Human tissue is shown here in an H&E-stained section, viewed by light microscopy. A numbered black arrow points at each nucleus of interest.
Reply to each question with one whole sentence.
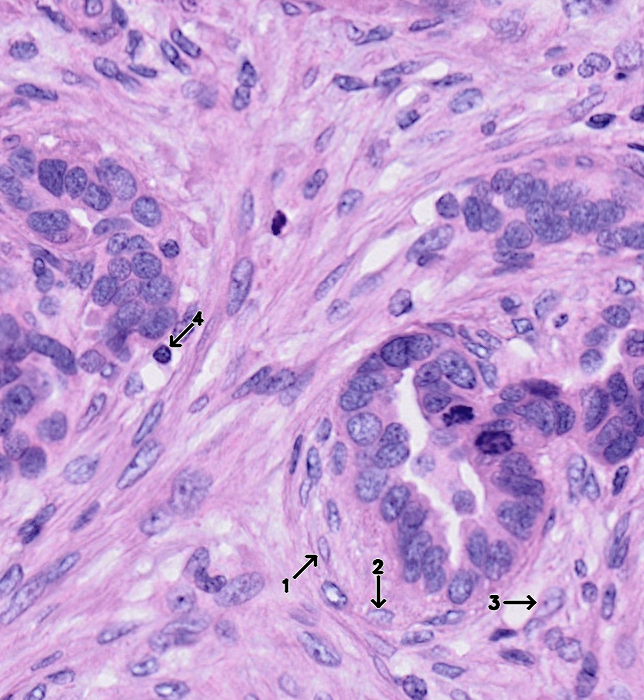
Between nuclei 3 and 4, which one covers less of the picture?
With nucleus 3 about 1.5 times its size, nucleus 4 is the smaller of the two.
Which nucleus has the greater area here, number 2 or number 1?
Number 2 is larger; its area is about 2 times that of number 1.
